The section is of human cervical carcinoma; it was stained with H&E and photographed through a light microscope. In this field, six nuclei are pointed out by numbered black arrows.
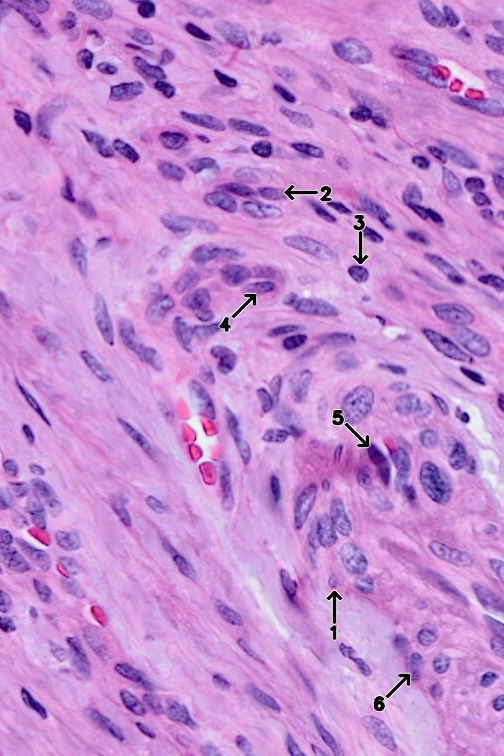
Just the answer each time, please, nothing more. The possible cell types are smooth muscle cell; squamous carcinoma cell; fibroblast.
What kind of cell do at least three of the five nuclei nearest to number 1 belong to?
smooth muscle cell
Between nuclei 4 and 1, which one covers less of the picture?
1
